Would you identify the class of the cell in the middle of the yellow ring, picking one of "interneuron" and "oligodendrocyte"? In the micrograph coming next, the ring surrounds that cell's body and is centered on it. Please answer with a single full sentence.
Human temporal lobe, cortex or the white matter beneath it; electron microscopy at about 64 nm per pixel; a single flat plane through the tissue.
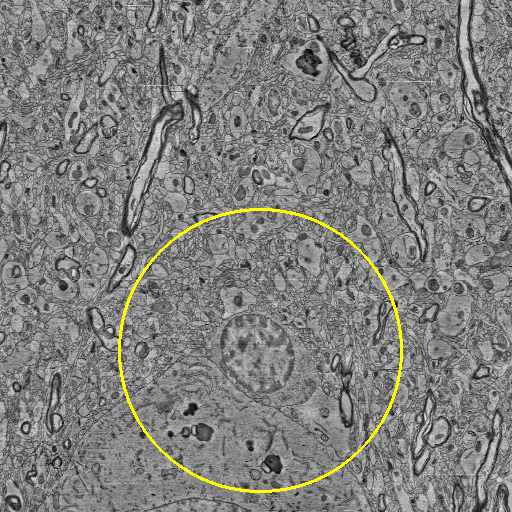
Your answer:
In the micrograph, it is an oligodendrocyte whose body lies at the ring's center.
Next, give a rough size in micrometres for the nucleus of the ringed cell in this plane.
Roughly 5 micrometres across, measured in this plane.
